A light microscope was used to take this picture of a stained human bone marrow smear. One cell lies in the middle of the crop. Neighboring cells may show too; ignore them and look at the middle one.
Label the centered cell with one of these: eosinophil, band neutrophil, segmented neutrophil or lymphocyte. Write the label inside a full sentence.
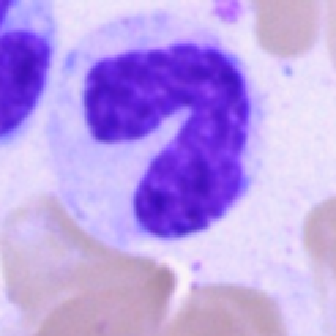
Seen at the centre of the crop is a band neutrophil.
